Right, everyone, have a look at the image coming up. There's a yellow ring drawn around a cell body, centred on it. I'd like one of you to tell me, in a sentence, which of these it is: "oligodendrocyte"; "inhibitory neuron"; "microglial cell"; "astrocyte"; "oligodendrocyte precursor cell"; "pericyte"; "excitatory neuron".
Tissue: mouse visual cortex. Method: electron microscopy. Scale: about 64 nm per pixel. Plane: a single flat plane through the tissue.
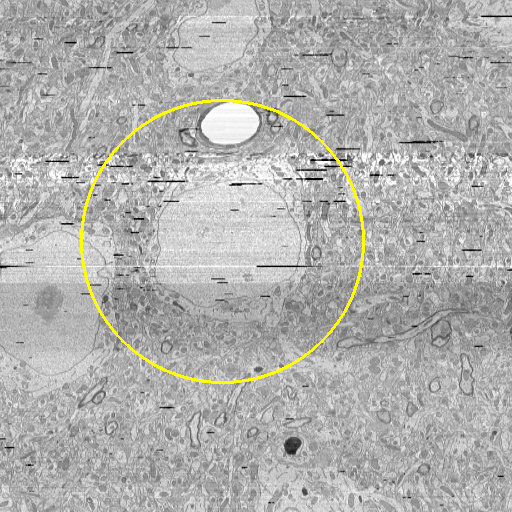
The yellow ring sits on an excitatory neuron.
